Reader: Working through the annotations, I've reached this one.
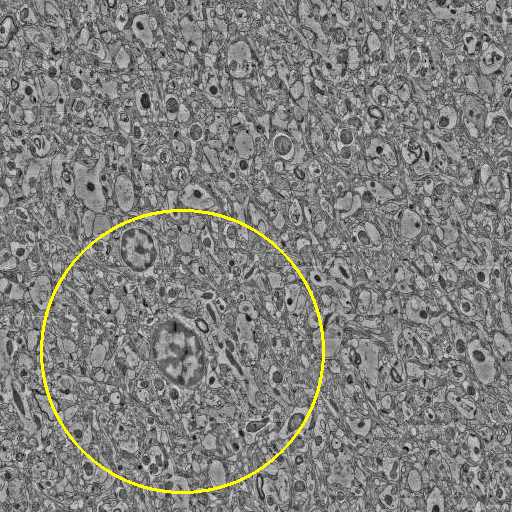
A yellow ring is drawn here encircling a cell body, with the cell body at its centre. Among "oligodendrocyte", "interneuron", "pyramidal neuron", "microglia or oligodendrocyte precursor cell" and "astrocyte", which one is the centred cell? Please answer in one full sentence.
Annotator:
The cell body at the centre of the yellow ring in this image belongs to an oligodendrocyte.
